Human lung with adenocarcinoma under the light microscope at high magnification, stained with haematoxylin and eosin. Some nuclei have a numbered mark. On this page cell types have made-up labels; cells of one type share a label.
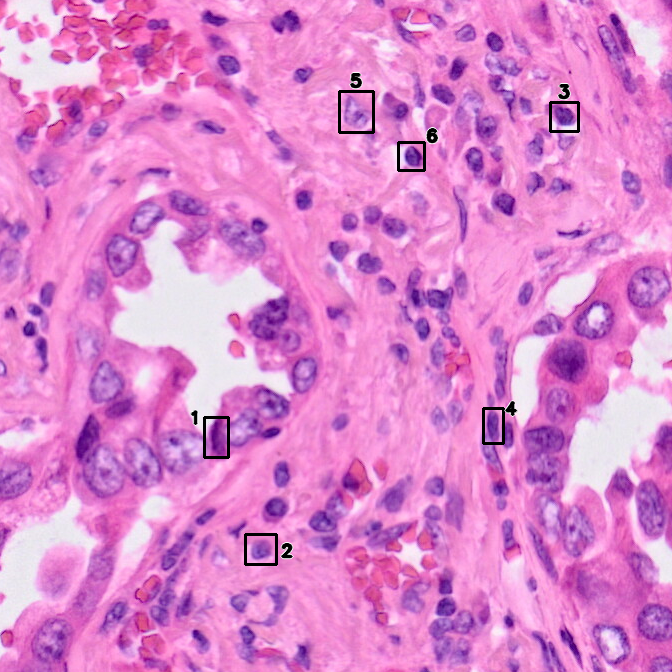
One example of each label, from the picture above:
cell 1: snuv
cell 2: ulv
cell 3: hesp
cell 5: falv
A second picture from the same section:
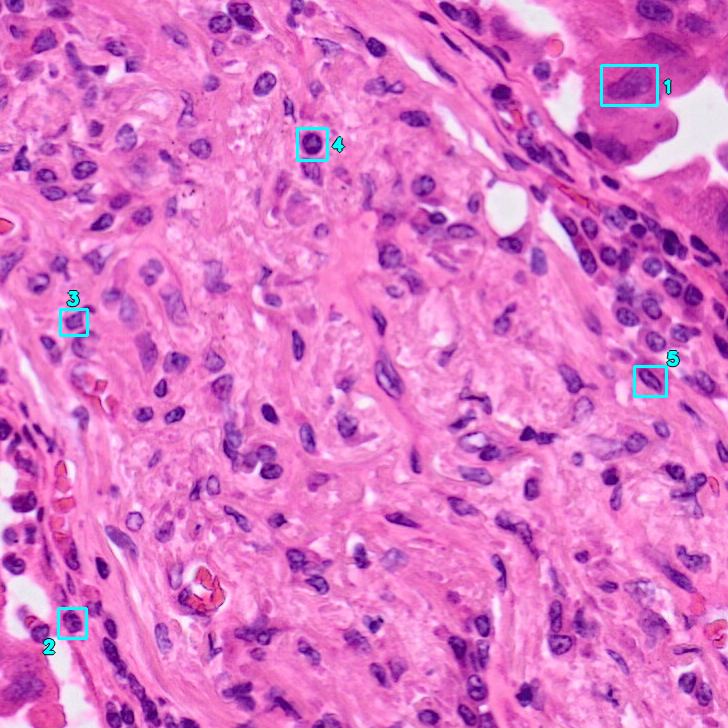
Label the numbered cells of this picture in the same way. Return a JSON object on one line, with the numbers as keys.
{"1": "snuv", "2": "ulv", "3": "ulv", "4": "hesp", "5": "hesp"}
